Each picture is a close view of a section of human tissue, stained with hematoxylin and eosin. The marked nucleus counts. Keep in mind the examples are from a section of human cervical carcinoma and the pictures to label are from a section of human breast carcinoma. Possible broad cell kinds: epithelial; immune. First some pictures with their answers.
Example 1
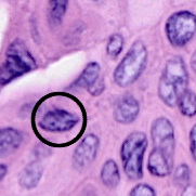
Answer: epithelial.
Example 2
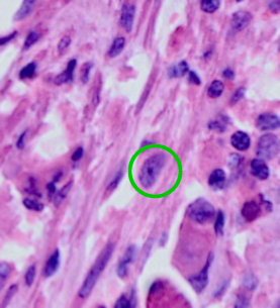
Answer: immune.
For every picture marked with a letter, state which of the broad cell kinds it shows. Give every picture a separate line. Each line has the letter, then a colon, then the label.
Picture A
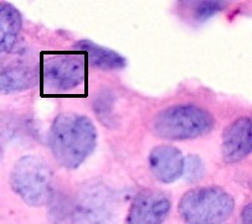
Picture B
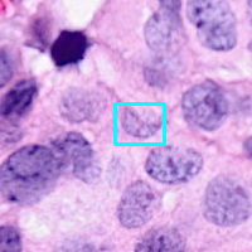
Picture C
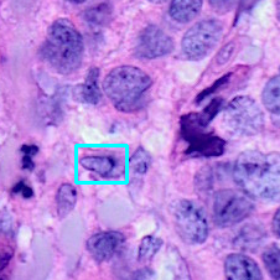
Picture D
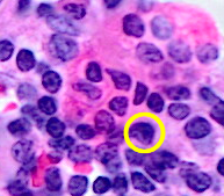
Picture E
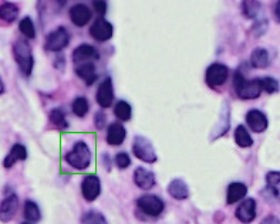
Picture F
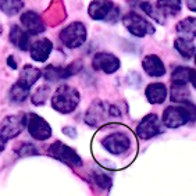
A: epithelial.
B: epithelial.
C: immune.
D: immune.
E: immune.
F: immune.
